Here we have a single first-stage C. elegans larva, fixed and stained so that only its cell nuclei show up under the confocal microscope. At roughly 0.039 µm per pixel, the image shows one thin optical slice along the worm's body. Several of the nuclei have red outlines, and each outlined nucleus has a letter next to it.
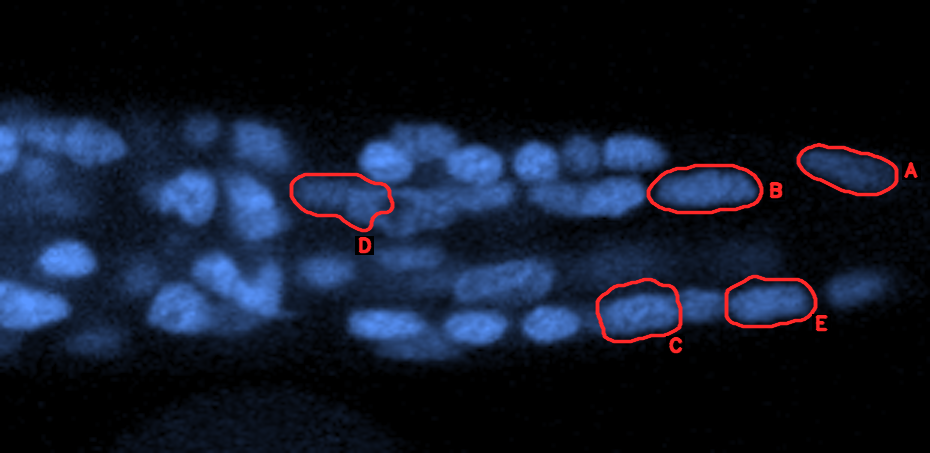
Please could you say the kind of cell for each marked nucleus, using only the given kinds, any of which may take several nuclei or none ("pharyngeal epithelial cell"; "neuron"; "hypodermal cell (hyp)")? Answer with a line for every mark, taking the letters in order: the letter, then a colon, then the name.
A: hypodermal cell (hyp)
B: pharyngeal epithelial cell
C: hypodermal cell (hyp)
D: pharyngeal epithelial cell
E: hypodermal cell (hyp)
